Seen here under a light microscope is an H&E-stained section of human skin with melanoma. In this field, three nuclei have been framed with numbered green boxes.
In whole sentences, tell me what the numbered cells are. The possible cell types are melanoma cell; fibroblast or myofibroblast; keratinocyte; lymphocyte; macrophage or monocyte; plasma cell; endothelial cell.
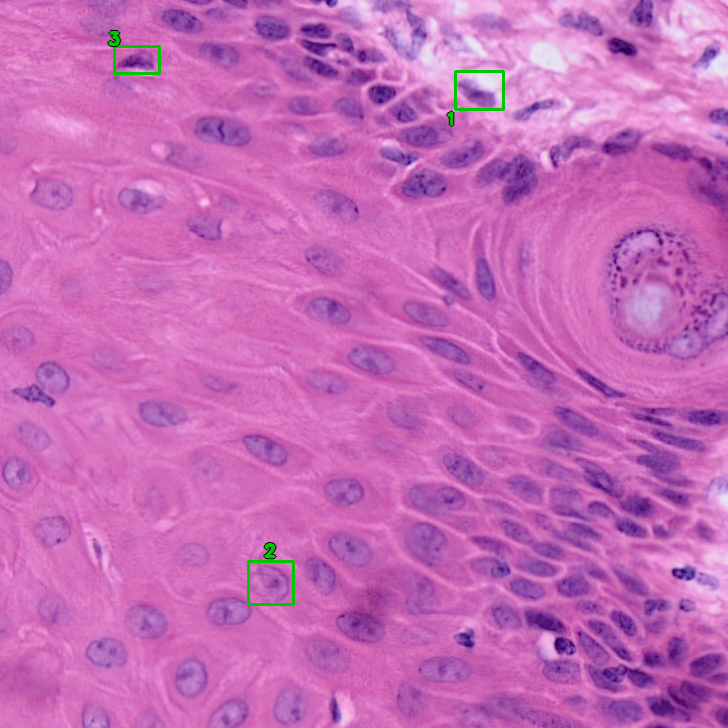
Cell 1 is a fibroblast or myofibroblast. Cells 2 and 3 are keratinocytes.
